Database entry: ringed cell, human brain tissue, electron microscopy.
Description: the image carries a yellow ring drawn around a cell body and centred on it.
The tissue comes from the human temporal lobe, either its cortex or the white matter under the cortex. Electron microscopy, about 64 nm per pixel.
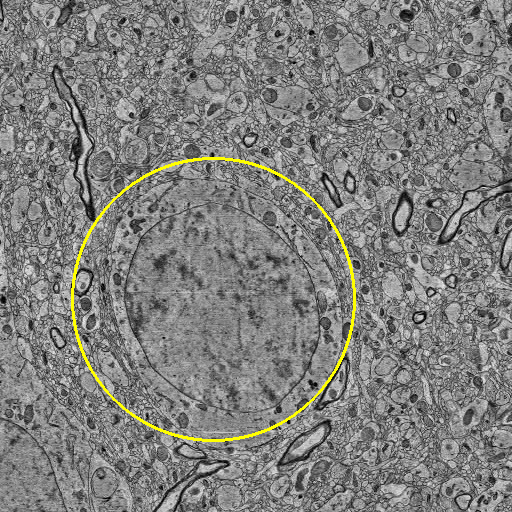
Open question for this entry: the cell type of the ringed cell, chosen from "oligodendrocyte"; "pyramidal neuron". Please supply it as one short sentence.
The ringed cell is a pyramidal neuron.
